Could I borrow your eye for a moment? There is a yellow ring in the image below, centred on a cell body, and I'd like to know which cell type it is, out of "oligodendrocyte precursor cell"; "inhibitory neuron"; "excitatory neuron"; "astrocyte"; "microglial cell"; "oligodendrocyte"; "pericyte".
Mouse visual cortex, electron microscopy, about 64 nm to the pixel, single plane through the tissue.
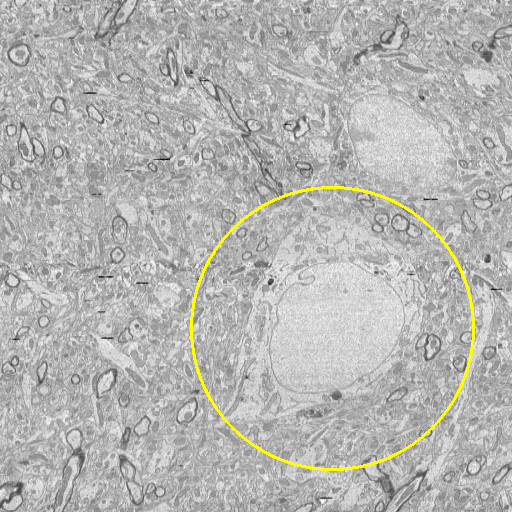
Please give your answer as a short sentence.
The cell body at the centre is that of an excitatory neuron.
